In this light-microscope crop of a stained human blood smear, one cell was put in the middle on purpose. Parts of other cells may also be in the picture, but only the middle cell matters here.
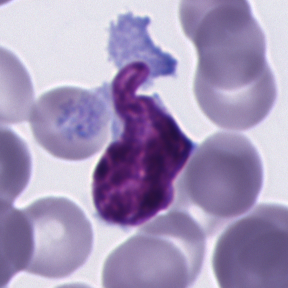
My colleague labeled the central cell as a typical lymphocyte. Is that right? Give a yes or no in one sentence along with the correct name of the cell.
Yes, the middle cell is classified as a typical lymphocyte.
